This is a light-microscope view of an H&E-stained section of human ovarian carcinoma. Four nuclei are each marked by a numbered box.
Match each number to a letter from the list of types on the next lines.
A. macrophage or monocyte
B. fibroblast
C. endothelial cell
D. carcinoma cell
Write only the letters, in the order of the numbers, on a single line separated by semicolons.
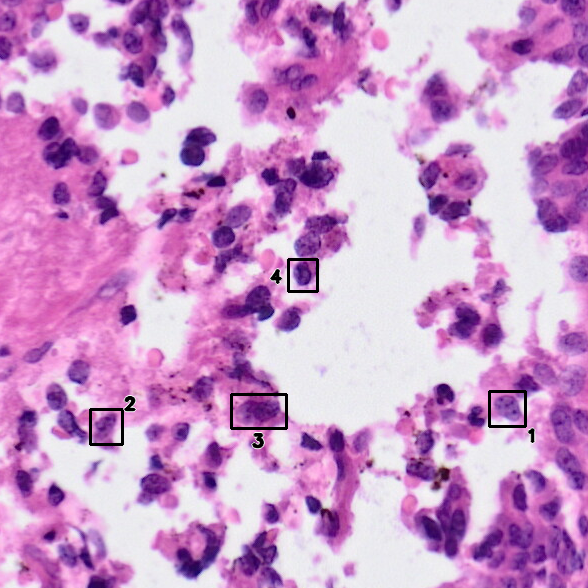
A; A; D; A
